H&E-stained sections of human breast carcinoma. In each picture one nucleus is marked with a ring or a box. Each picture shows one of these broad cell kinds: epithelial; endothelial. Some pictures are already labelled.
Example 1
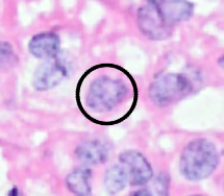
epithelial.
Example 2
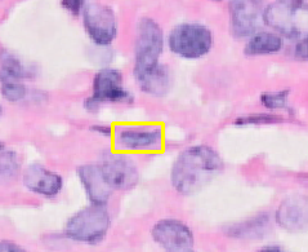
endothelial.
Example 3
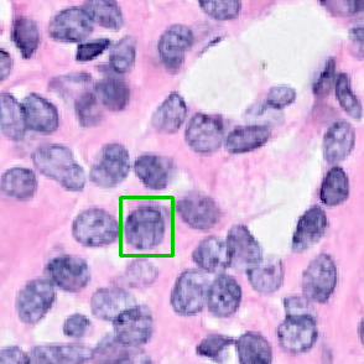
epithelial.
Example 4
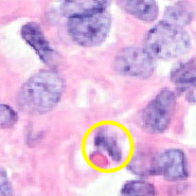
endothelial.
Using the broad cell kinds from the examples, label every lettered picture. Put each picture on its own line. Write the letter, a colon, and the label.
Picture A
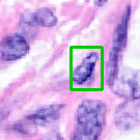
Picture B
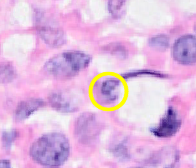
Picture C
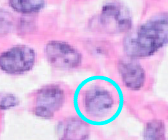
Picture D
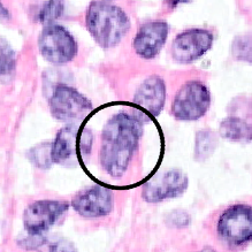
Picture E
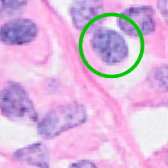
A: endothelial.
B: endothelial.
C: epithelial.
D: epithelial.
E: epithelial.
